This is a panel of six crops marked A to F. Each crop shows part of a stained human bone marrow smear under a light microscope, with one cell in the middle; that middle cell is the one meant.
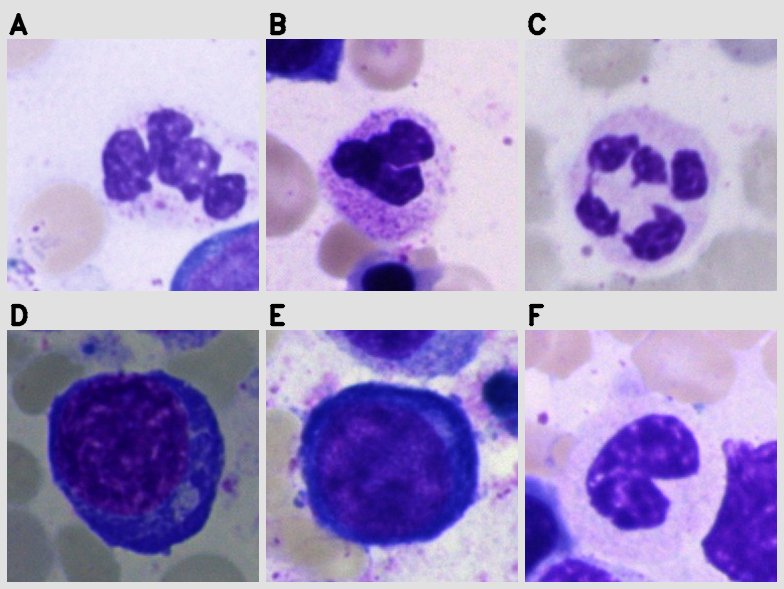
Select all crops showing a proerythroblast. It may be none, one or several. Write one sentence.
Of the crops given, crops D and E show proerythroblasts.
